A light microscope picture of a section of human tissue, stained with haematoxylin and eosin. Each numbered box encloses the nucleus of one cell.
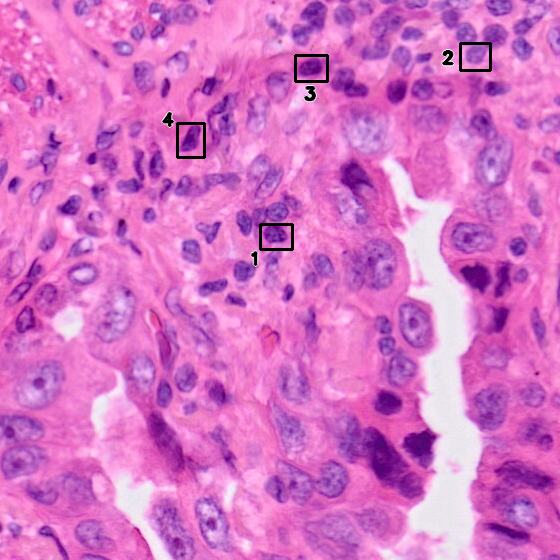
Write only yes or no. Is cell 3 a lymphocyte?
no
